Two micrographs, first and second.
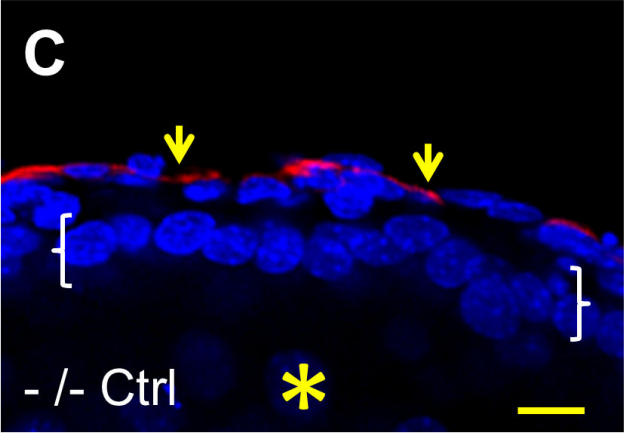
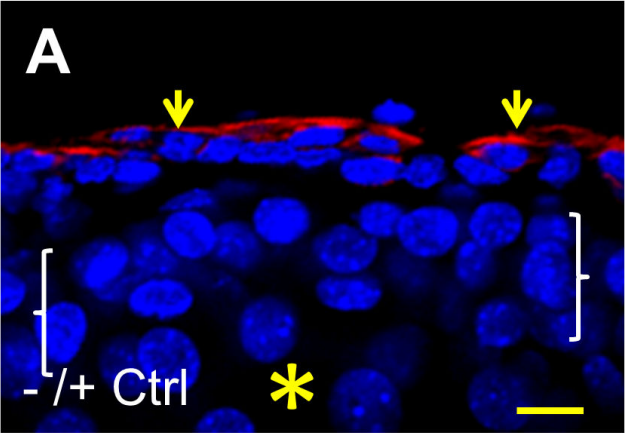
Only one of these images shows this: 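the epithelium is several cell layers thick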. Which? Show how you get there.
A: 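First image: the brackets span a narrow band of about one row of nuclei. Second image: the brackets span a tall band of several stacked rows of rounded nuclei. The answer: the second image.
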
